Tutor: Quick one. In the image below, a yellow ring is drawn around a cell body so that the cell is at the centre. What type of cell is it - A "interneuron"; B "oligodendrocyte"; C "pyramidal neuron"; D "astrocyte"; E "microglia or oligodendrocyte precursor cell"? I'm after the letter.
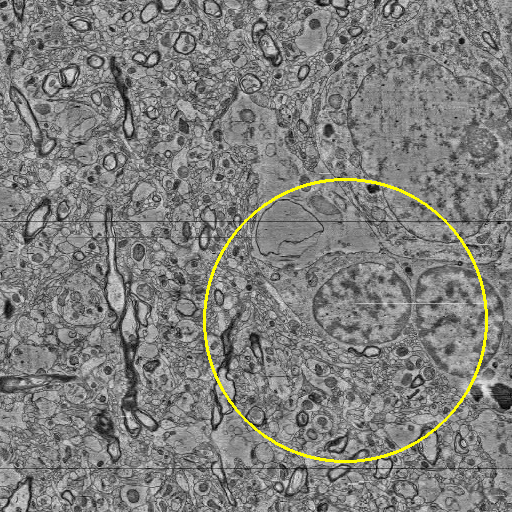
B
